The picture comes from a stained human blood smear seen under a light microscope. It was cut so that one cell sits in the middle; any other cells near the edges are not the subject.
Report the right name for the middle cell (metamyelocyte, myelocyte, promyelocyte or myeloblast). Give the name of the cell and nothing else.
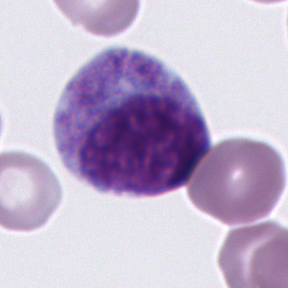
myelocyte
